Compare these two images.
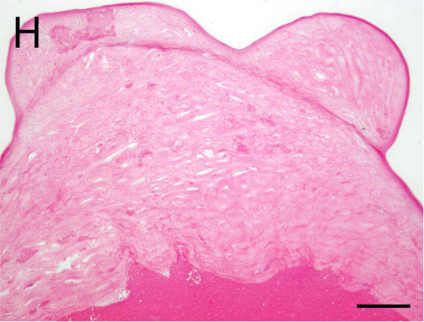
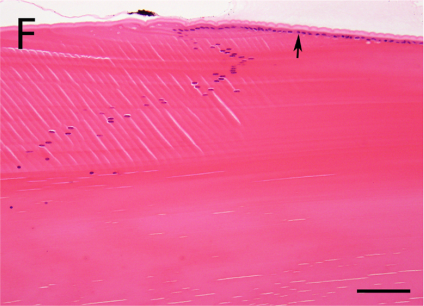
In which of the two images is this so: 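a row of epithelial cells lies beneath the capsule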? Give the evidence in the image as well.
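First image: no row of nuclei lies beneath the outer band; the tissue is pale and fibrillar. Second image: a continuous row of dark purple nuclei lies just beneath the thin outer band.
Answer: the second image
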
